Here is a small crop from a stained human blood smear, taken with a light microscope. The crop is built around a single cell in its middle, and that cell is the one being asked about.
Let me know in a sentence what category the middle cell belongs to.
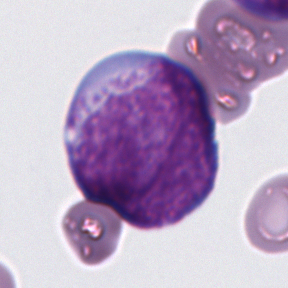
Classification of the middle cell gives an atypical promyelocyte.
